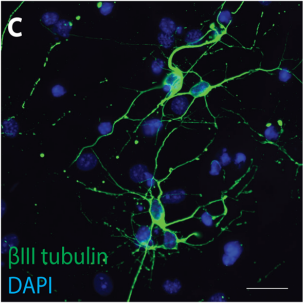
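These are neurons in a mixed culture, with green staining filling small cell bodies and their long processes. Several cell bodies sit near the centre, each around a blue nucleus, and send out thin, branching processes that run far across the field. Small green dots and beads lie along and beside the processes. Many blue nuclei without green staining are scattered around, from other cells of the culture.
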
